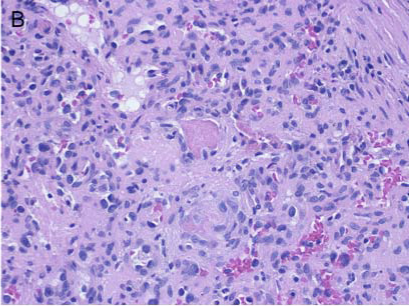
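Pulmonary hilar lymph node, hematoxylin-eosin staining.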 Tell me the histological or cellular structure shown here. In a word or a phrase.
Capillaries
